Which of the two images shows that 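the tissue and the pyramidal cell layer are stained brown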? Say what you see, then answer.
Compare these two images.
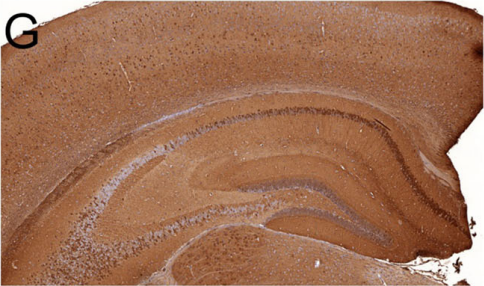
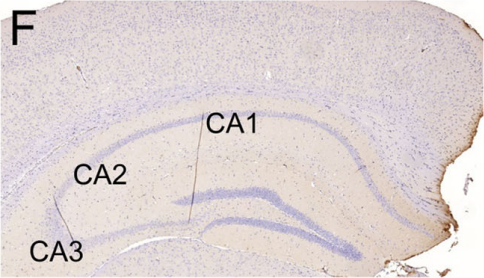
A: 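First image: the whole section is brown with a dark brown band of cell bodies along the hippocampal cell layer. So: the first image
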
